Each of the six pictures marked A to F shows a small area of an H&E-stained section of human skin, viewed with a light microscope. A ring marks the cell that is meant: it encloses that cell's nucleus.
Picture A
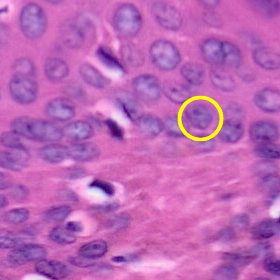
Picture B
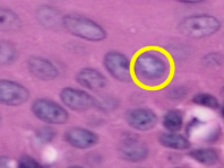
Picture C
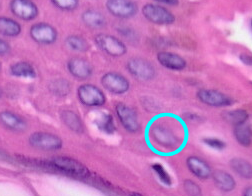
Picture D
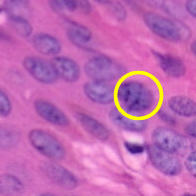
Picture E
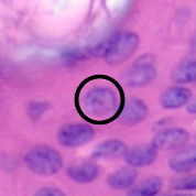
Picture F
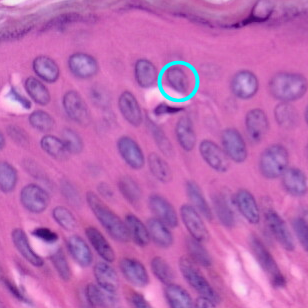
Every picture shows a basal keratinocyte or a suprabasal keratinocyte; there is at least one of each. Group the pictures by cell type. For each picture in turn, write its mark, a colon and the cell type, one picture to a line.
A: basal keratinocyte
B: suprabasal keratinocyte
C: suprabasal keratinocyte
D: basal keratinocyte
E: suprabasal keratinocyte
F: suprabasal keratinocyte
